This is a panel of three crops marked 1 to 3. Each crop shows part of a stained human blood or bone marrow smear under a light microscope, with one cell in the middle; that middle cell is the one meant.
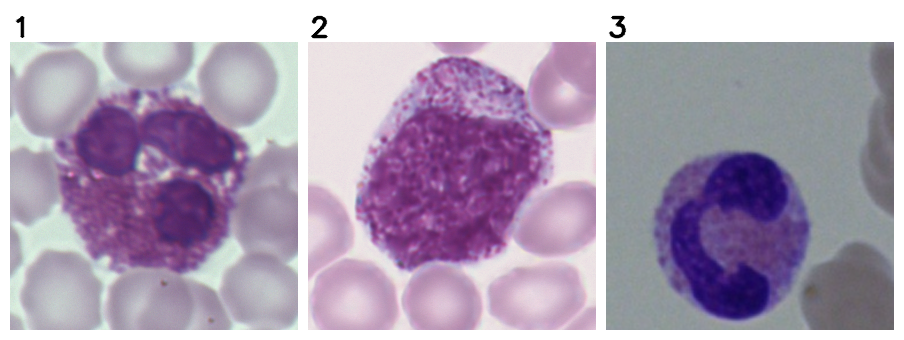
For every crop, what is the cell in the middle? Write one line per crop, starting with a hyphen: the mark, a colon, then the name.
- 1: eosinophil
- 2: myelocyte
- 3: eosinophil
